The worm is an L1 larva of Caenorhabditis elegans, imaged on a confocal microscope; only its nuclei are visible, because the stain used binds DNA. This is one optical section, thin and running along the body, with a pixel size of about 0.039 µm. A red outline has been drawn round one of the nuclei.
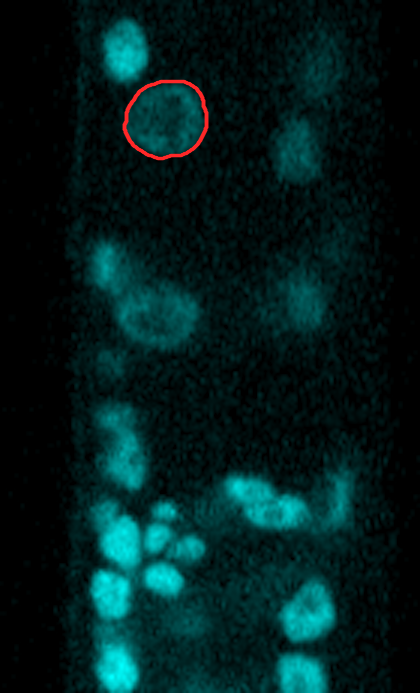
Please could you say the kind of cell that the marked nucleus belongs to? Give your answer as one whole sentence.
This nucleus is from an intestinal cell.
